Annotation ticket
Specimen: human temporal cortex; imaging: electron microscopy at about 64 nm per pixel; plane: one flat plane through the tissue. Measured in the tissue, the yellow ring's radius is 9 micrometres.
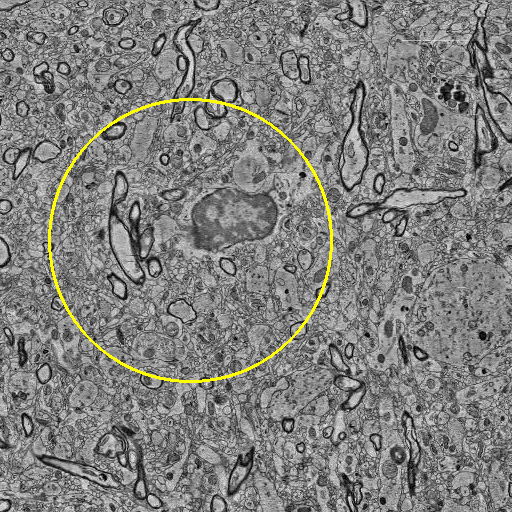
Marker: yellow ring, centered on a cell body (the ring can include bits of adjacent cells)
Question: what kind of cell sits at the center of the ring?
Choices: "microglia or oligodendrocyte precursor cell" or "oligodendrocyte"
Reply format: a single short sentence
The ring is centered on a microglial cell or oligodendrocyte precursor cell.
